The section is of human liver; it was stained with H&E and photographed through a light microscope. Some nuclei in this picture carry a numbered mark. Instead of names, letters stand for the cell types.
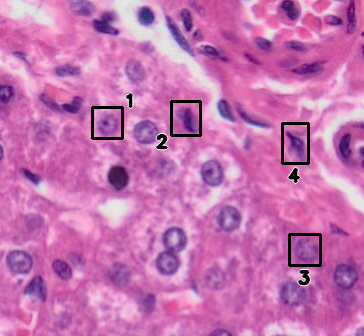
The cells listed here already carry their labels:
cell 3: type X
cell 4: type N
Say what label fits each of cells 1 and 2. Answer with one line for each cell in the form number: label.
1: type X
2: type N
